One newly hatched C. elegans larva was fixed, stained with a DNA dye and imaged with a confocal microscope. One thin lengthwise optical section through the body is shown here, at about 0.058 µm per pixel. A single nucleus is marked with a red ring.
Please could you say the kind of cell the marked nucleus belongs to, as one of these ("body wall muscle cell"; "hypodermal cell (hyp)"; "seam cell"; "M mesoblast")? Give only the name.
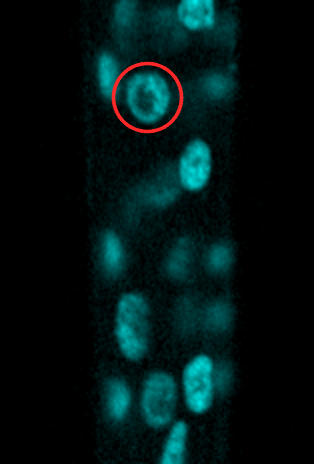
M mesoblast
